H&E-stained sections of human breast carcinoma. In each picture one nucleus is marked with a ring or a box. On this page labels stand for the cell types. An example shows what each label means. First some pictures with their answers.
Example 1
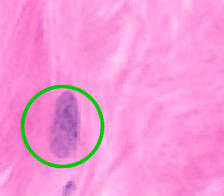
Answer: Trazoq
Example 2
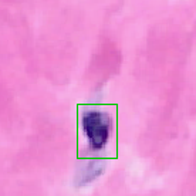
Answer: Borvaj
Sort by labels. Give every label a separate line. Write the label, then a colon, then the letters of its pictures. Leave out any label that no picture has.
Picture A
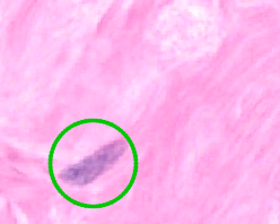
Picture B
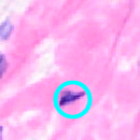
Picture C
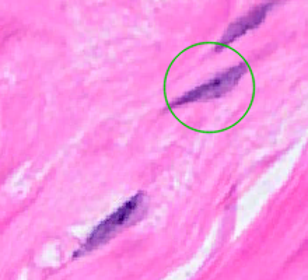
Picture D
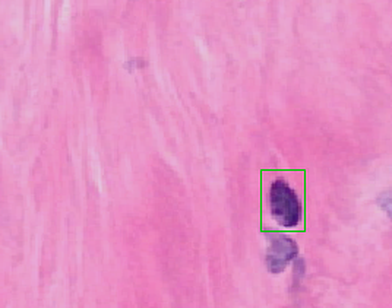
Trazoq: A, B, C
Borvaj: D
